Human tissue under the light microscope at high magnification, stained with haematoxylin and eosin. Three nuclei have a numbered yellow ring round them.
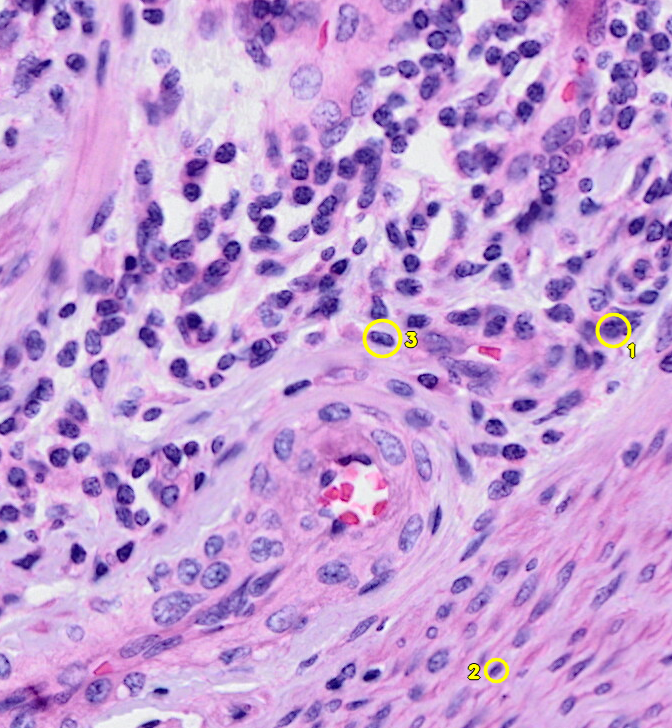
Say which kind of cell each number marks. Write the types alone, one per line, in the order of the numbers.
lymphocyte
smooth muscle cell
lymphocyte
